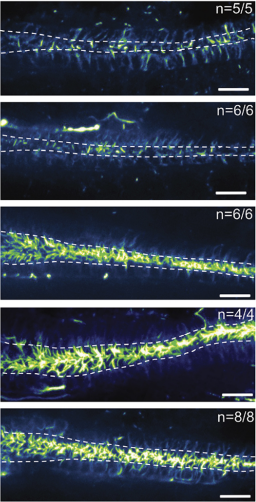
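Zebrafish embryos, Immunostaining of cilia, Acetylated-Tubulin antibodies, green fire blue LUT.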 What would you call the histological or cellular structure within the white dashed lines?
spinal canal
